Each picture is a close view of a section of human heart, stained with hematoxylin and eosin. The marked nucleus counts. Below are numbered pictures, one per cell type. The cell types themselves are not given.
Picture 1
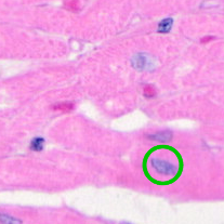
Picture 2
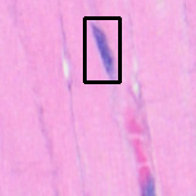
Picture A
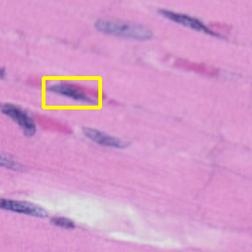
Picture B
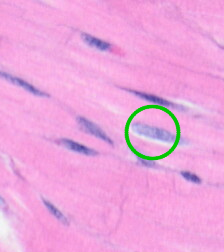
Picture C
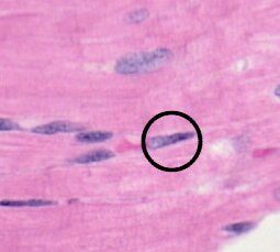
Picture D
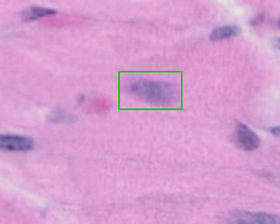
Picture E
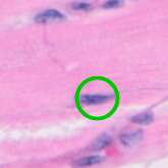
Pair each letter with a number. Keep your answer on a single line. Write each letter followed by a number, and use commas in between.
A 2, B 1, C 2, D 1, E 2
